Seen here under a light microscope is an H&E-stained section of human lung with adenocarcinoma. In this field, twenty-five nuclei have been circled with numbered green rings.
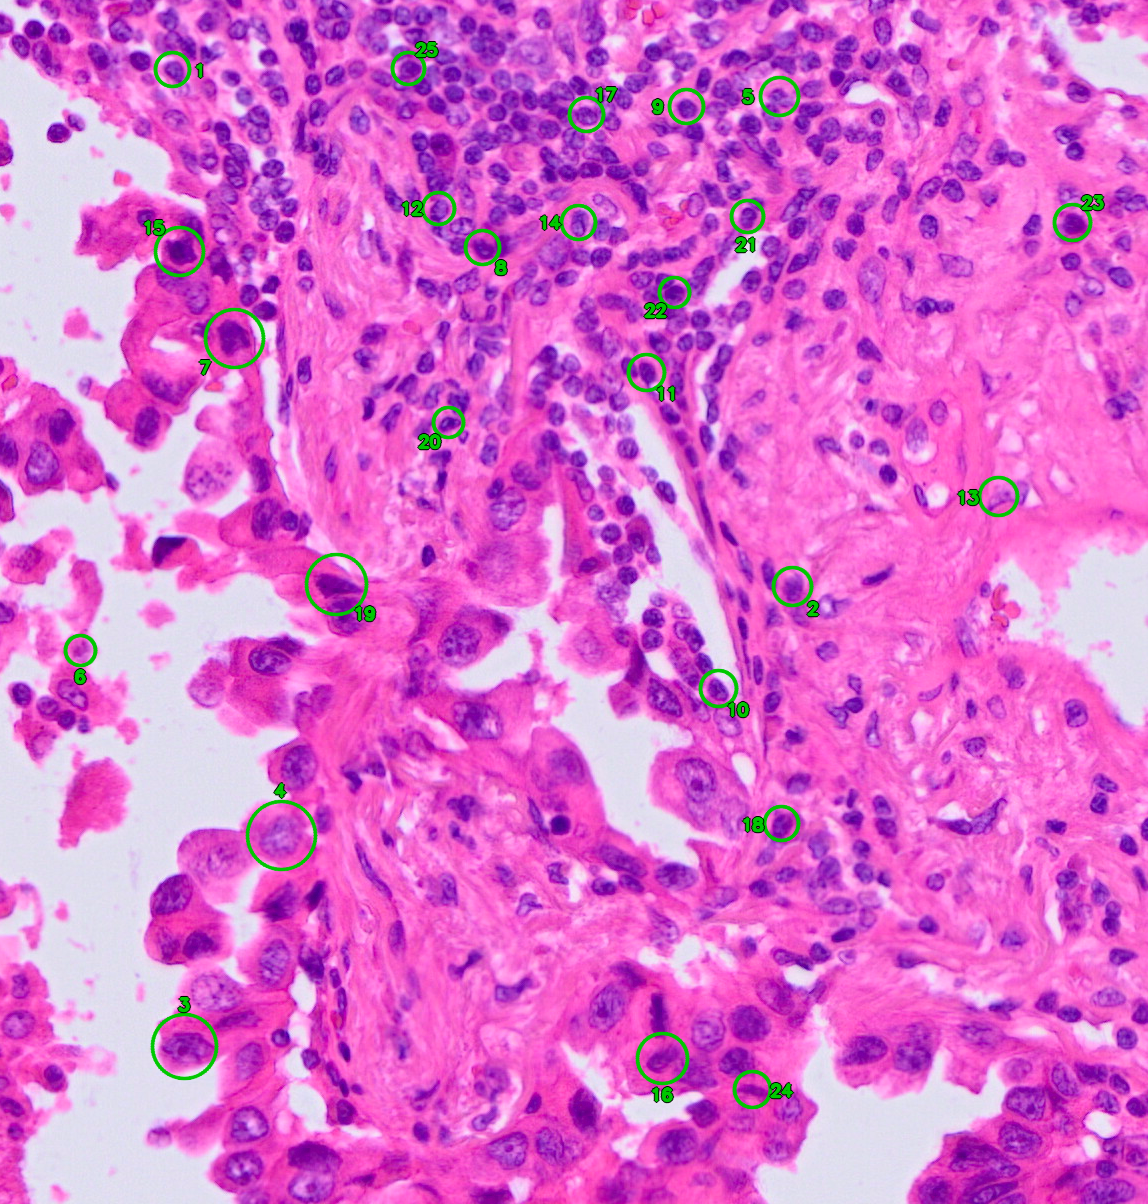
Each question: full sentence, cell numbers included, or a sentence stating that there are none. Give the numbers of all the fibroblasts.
Only the cell carrying number 13 is a fibroblast.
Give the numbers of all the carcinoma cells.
The cells shown with numbers 3, 4, 7, 15, 16, 19 and 24 are carcinoma cells.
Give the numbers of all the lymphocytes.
The cells numbered 1, 5, 9, 10, 11, 12, 14, 17, 20, 21, 22 and 25 are typed as lymphocytes.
